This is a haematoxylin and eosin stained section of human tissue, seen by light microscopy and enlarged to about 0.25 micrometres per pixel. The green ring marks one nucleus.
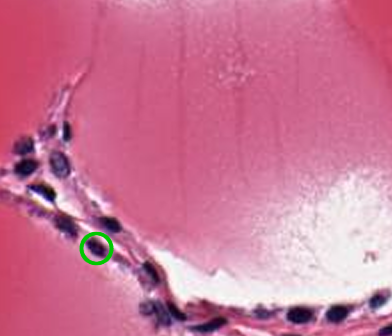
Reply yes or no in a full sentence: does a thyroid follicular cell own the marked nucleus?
Yes, the nucleus bearing the mark is that of a thyroid follicular cell.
